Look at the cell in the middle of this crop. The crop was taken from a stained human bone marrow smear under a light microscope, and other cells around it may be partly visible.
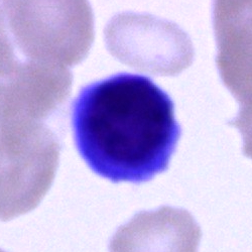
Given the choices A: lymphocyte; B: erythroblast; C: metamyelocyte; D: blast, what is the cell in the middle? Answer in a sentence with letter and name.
The cell centered in the crop is an erythroblast, making option B the correct pick.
